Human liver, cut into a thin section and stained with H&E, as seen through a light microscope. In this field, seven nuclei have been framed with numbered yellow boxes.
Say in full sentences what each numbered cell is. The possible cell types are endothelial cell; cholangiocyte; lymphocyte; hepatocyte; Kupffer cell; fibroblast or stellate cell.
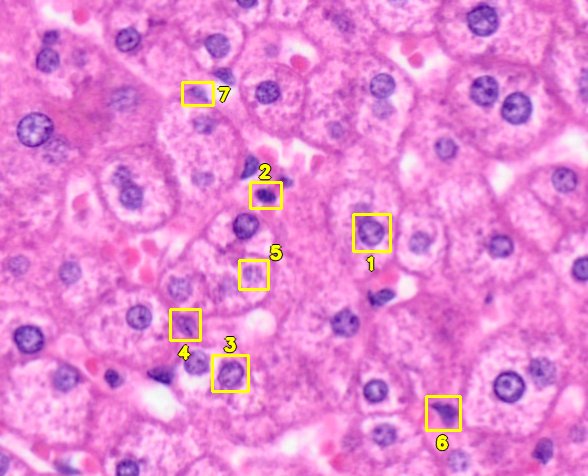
Cells 1, 3 and 5 are hepatocytes. Cell 2 is a lymphocyte. Cells 4, 6 and 7 are endothelial cells.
